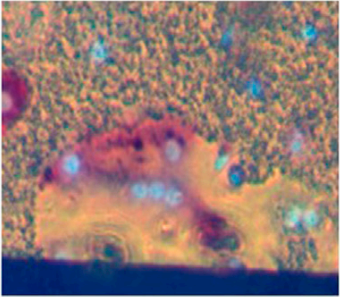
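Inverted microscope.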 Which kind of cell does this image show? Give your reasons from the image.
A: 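A large purple-stained cell holds several blue nuclei. The cell lies along the border between the granular coating and a smooth cleared area. The answer: osteoclasts.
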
